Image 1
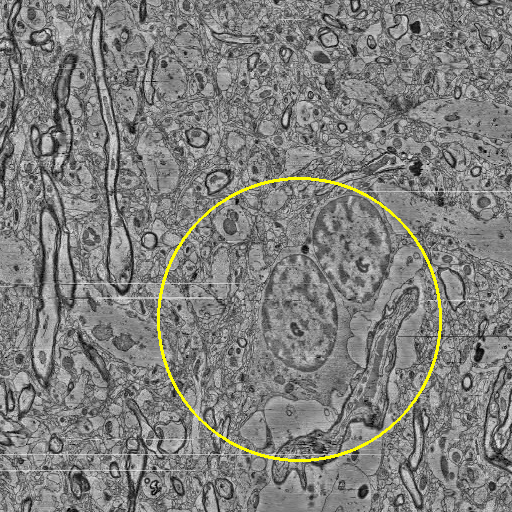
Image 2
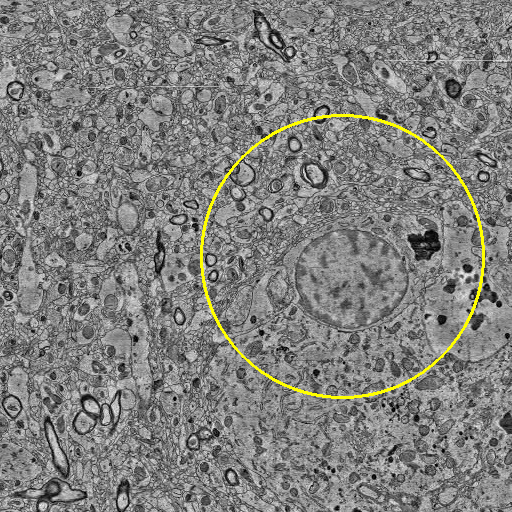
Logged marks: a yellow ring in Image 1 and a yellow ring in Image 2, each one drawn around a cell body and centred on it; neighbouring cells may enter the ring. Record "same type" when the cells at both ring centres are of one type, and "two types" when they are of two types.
same type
